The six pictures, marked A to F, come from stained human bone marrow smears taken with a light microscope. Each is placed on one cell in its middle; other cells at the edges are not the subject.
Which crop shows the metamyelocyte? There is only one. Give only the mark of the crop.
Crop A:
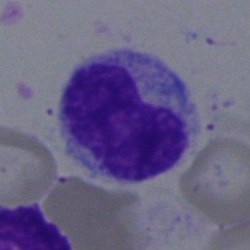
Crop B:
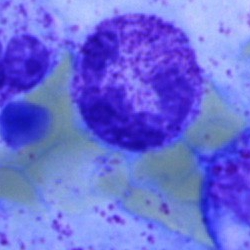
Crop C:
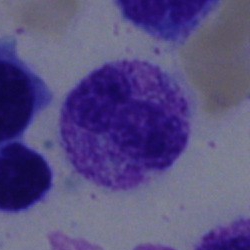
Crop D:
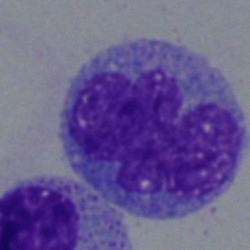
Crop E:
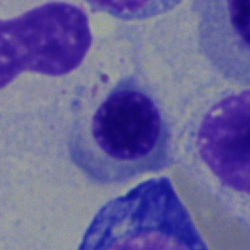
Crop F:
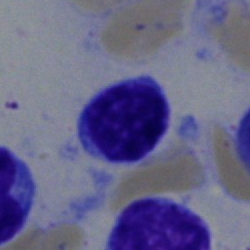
A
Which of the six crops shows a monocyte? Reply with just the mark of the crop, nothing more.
D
